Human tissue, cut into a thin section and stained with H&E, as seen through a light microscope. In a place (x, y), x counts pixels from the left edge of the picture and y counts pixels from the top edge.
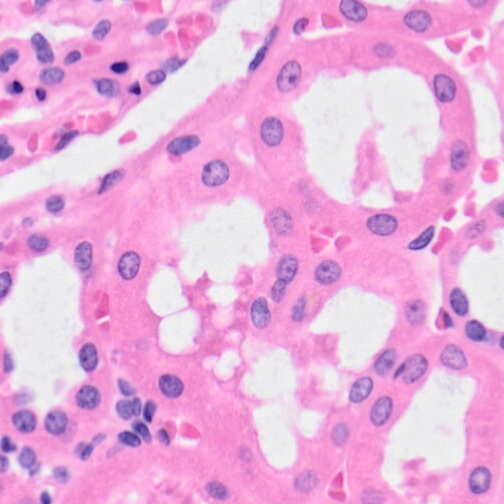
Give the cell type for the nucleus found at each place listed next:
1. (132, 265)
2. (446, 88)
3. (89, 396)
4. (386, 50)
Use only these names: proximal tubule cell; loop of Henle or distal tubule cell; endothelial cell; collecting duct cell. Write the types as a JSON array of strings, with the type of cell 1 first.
["proximal tubule cell", "proximal tubule cell", "loop of Henle or distal tubule cell", "proximal tubule cell"]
